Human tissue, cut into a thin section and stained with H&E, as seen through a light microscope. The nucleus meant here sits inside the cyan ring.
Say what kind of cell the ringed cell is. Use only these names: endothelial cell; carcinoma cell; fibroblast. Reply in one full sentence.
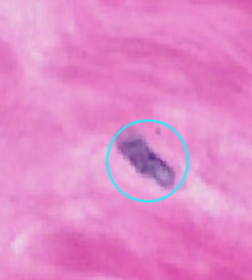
The correct response here is that the ringed cell is a fibroblast.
